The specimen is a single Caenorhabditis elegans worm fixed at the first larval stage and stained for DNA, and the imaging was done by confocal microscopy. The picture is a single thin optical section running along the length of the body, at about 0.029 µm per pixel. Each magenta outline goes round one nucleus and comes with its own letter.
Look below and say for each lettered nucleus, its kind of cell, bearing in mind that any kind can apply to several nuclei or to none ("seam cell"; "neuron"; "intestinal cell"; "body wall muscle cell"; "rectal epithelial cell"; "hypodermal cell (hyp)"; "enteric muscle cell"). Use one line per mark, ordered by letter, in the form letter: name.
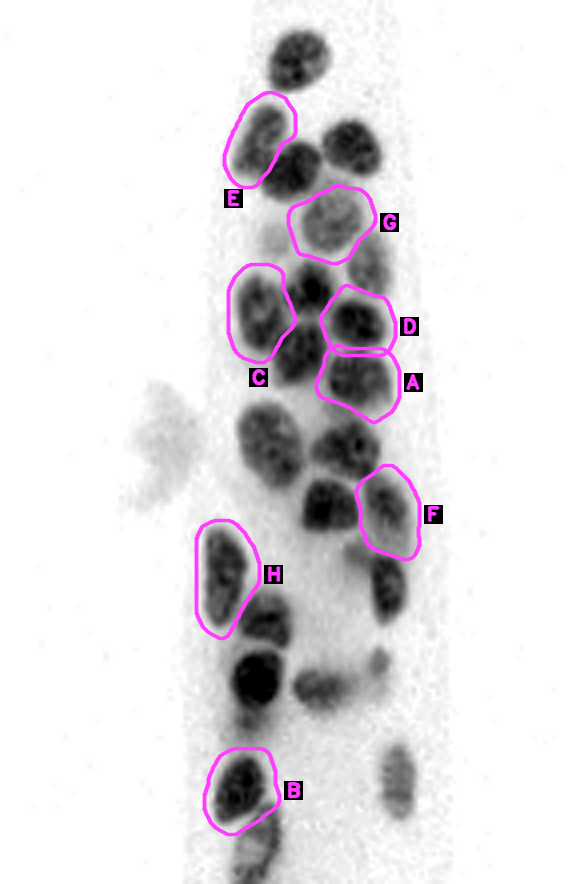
A: enteric muscle cell
B: neuron
C: body wall muscle cell
D: neuron
E: hypodermal cell (hyp)
F: body wall muscle cell
G: seam cell
H: rectal epithelial cell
